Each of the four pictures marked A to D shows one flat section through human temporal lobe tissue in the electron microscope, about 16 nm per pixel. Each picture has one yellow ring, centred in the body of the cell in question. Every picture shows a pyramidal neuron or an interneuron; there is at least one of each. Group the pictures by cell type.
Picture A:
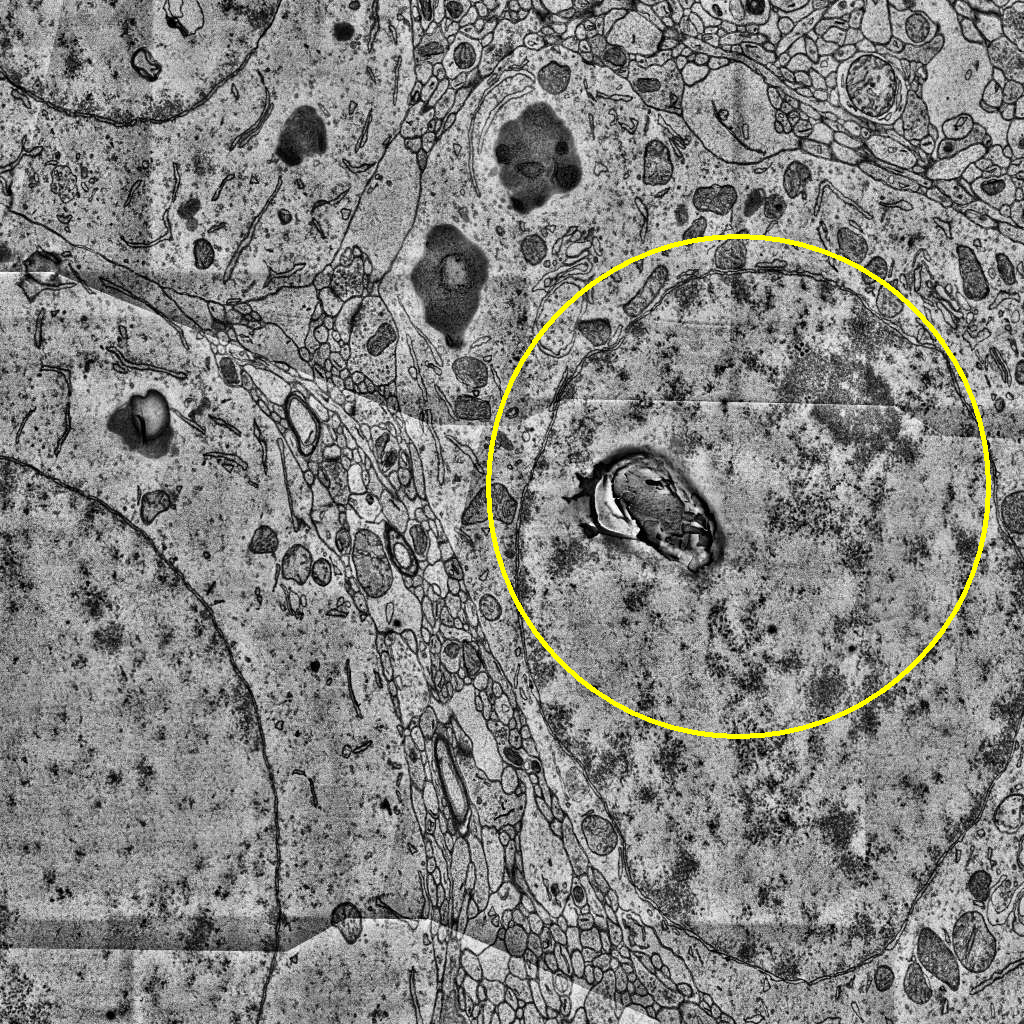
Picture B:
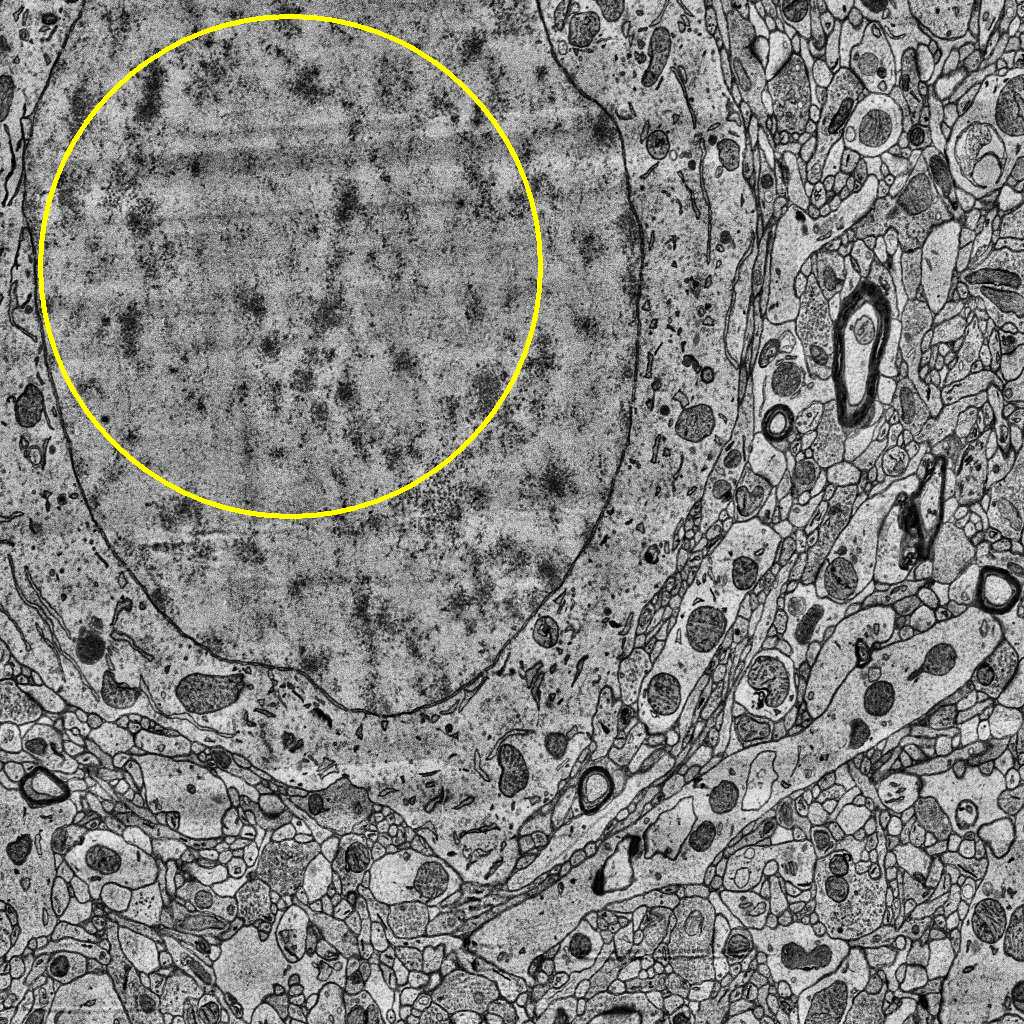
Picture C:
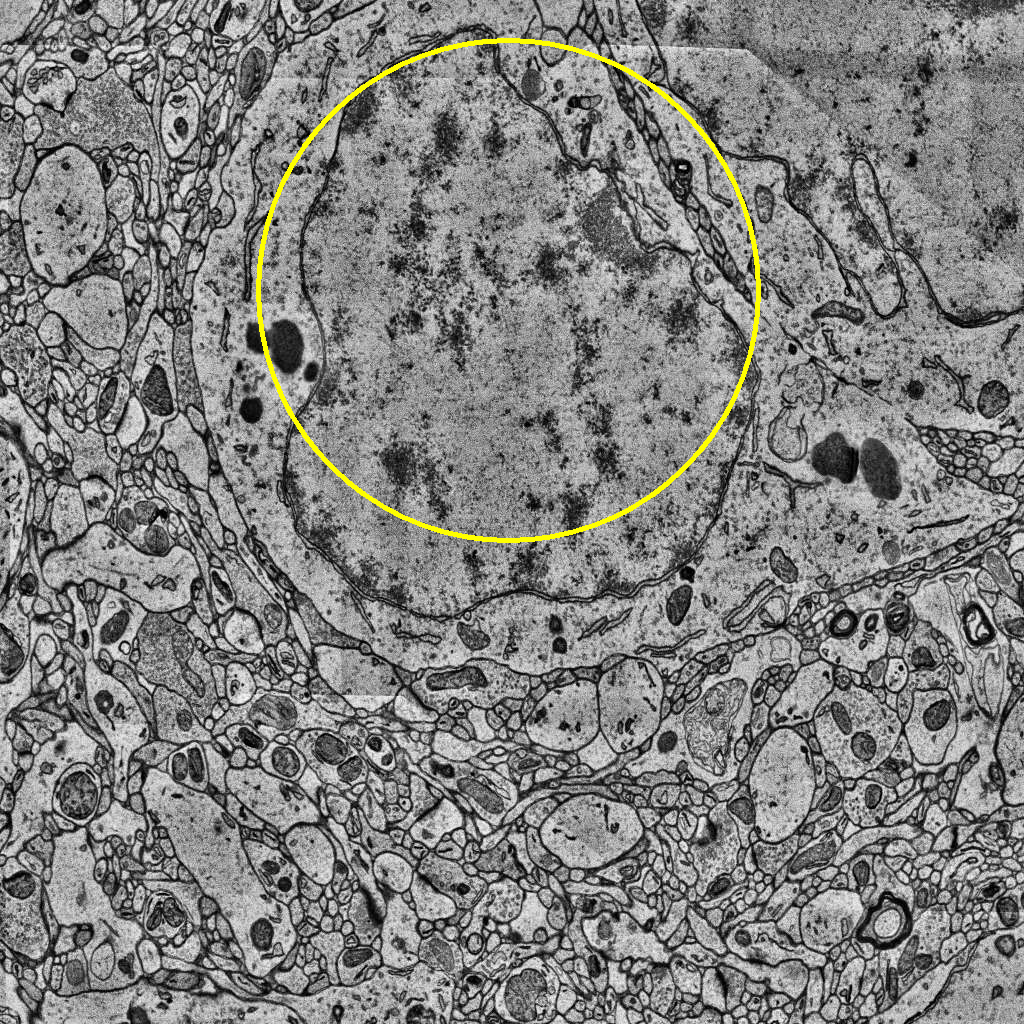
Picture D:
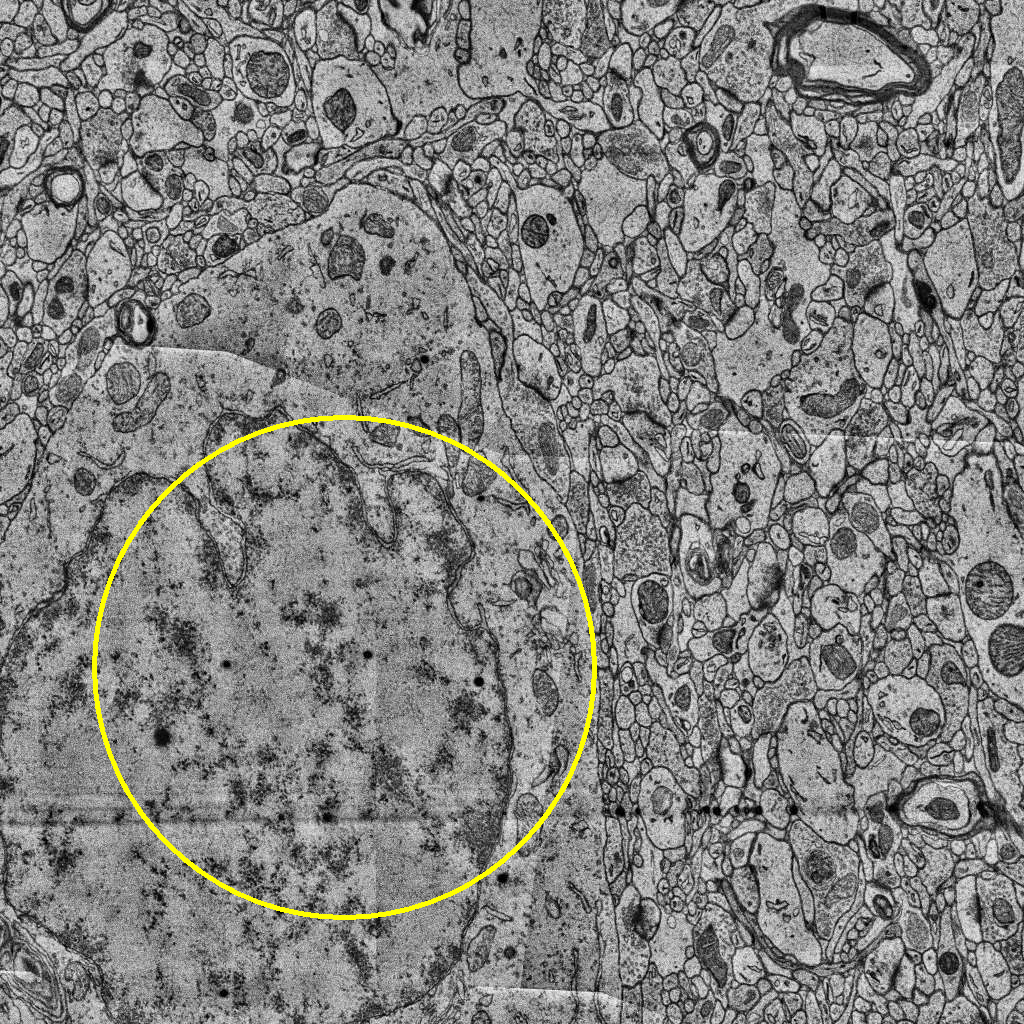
Picture B shows a pyramidal neuron, while pictures A, C and D show interneurons.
